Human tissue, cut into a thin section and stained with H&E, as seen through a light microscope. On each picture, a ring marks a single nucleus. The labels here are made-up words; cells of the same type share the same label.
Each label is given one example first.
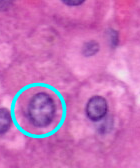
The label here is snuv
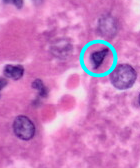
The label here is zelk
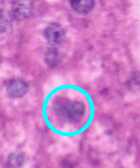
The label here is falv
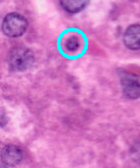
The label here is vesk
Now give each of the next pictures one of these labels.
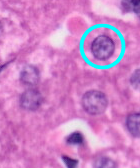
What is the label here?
snuv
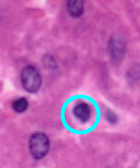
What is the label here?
vesk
